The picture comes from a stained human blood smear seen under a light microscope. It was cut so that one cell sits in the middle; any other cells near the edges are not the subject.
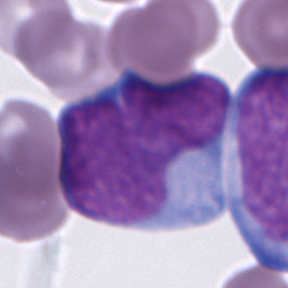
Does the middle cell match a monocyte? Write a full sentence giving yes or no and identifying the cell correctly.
No, the cell in the middle is not a monocyte but a myeloblast.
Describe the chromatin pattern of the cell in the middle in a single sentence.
The chromatin is fine, with no coarse clumping anywhere.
